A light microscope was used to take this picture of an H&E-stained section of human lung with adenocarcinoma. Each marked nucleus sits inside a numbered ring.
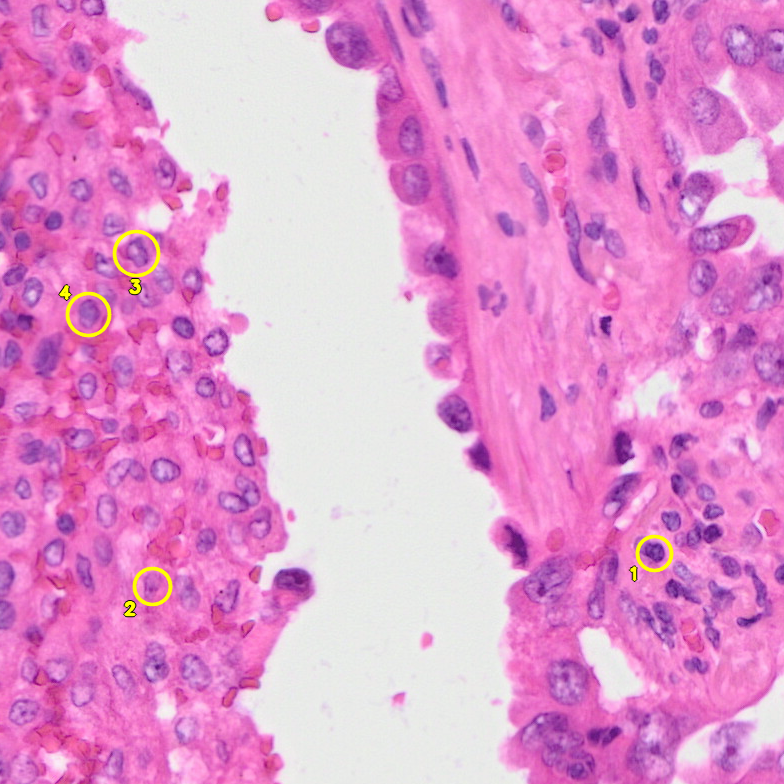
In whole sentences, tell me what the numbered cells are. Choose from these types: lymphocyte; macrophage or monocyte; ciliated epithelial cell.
Cell 1 is a lymphocyte, cell 2 is a macrophage or monocyte, cell 3 is a macrophage or monocyte and cell 4 is a macrophage or monocyte.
